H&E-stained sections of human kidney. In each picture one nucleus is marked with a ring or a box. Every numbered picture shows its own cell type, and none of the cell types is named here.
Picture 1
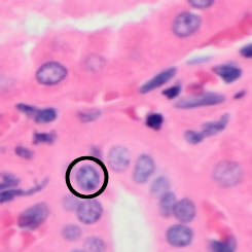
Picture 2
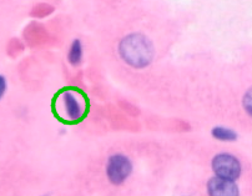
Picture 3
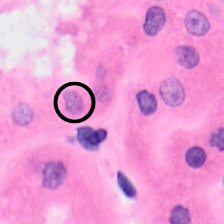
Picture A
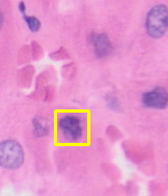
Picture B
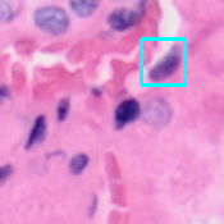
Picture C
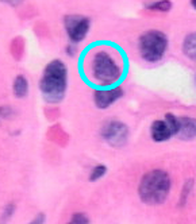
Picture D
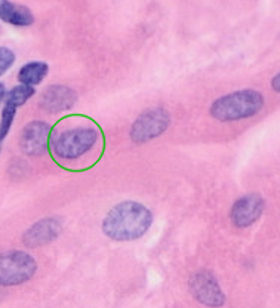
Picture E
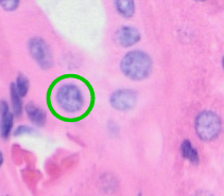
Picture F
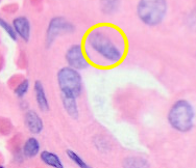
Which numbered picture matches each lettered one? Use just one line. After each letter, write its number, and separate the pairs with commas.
A 3, B 2, C 1, D 3, E 1, F 1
